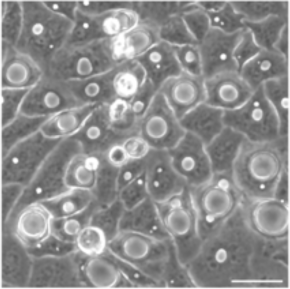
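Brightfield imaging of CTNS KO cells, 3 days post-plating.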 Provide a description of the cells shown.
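These are cultured adherent cells seen by phase contrast, packed closely in a monolayer. Many of them carry large round clear vacuoles with bright halo-like rims, some so big that the cell looks rounded and ballooned around them. Between these, flatter spread cells with granular cytoplasm fill the field, and small bright round bodies are scattered among them.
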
